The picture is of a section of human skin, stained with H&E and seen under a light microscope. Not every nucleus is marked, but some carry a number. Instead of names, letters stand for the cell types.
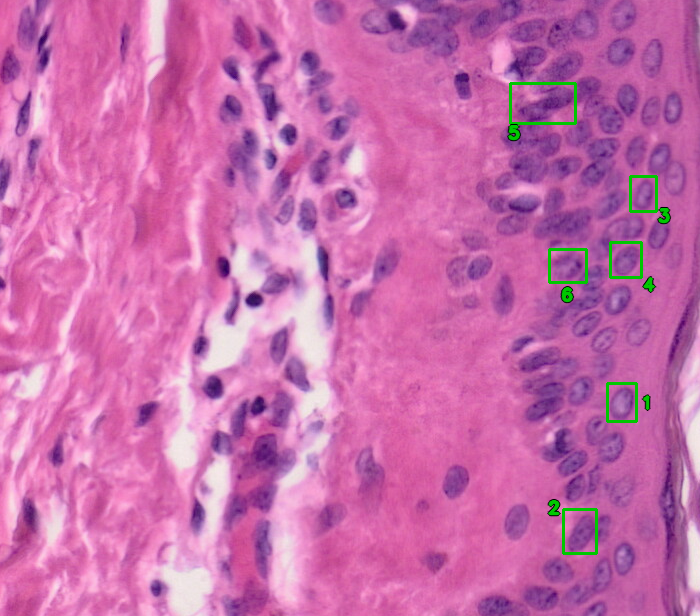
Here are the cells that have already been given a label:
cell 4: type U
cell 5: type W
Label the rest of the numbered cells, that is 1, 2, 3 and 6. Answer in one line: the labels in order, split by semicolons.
type U; type W; type U; type W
